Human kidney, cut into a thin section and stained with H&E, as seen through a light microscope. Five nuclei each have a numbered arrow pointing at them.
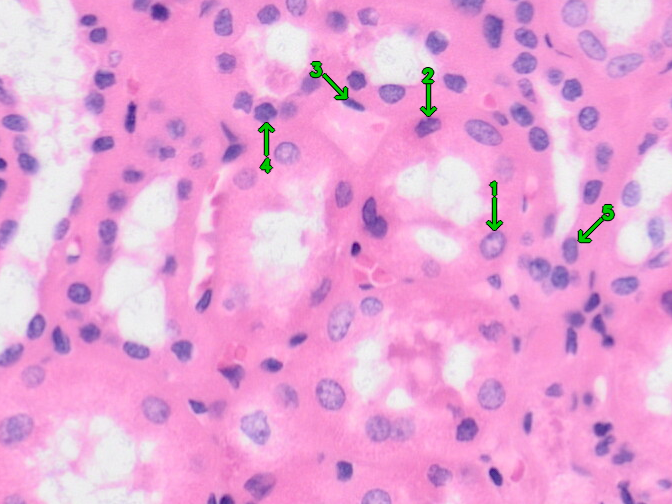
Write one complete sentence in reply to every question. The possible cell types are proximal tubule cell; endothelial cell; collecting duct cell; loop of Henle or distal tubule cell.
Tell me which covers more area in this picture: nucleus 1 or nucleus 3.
Nucleus 1 is the larger one, covering about 2.5 times the area of nucleus 3.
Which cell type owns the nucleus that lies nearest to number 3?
The nucleus nearest to number 3 is that of a loop of Henle or distal tubule cell.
